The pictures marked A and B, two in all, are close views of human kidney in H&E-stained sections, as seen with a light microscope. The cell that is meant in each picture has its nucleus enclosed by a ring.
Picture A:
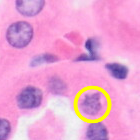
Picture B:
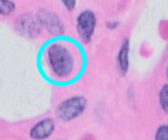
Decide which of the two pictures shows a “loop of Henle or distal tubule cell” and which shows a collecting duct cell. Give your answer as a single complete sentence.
Picture B shows a collecting duct cell, while picture A shows a “loop of Henle or distal tubule cell”.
